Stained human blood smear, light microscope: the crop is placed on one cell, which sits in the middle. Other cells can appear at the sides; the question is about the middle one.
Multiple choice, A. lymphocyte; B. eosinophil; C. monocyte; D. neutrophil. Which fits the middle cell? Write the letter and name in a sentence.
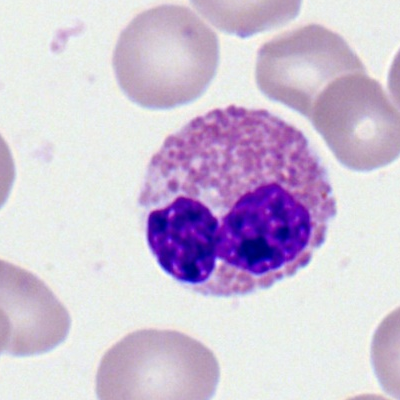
Option B is the right choice, the central cell being an eosinophil.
